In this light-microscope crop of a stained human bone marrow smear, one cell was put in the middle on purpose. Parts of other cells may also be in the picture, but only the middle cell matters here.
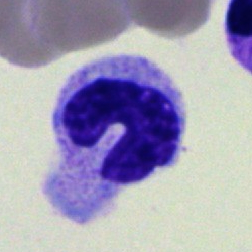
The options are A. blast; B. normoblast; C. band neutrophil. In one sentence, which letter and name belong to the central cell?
The one to choose is option C, as the cell in the middle is a band neutrophil.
